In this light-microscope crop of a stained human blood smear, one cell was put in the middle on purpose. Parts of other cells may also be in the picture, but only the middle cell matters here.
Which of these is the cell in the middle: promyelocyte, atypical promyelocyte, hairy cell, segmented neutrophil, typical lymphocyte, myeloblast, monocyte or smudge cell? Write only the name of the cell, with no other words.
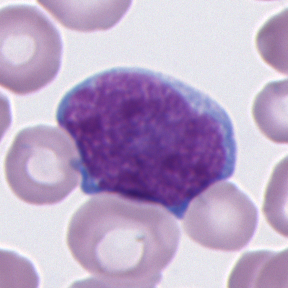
myeloblast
